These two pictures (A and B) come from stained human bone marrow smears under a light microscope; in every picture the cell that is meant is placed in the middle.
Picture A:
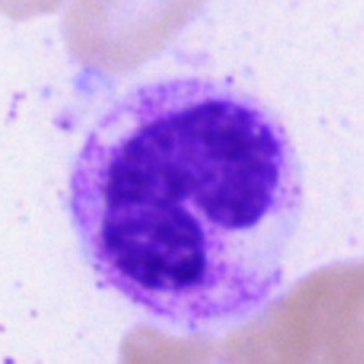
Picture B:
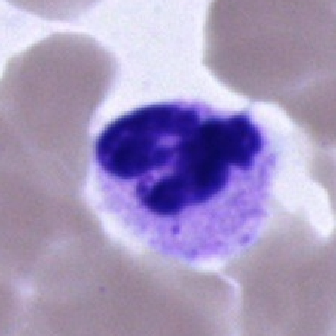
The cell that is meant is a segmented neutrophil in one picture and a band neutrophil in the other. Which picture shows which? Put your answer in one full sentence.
In picture A the cell is a band neutrophil; in picture B, a segmented neutrophil.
